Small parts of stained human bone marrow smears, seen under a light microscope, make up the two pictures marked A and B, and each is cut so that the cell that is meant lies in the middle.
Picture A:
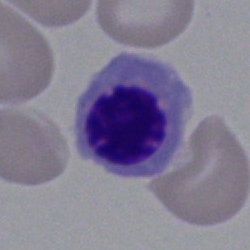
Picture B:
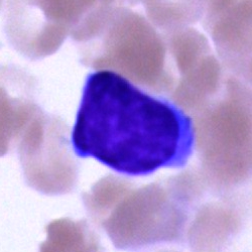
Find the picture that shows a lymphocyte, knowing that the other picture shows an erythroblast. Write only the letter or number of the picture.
B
